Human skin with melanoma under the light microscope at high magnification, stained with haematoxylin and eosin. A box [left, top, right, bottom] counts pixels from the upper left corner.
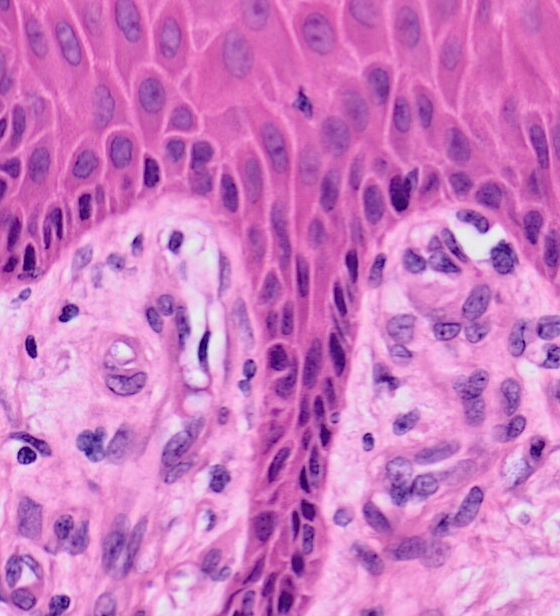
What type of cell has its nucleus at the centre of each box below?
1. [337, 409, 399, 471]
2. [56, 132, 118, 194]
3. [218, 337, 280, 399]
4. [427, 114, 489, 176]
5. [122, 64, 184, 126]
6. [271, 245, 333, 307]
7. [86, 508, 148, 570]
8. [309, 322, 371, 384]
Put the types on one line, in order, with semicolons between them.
lymphocyte; keratinocyte; lymphocyte; keratinocyte; keratinocyte; keratinocyte; endothelial cell; keratinocyte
